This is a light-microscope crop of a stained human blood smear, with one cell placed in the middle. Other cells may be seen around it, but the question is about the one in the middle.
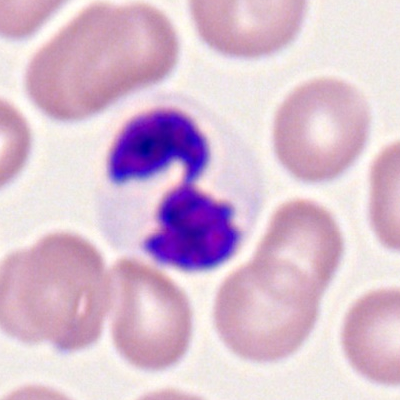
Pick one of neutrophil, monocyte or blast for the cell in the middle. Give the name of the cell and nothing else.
neutrophil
